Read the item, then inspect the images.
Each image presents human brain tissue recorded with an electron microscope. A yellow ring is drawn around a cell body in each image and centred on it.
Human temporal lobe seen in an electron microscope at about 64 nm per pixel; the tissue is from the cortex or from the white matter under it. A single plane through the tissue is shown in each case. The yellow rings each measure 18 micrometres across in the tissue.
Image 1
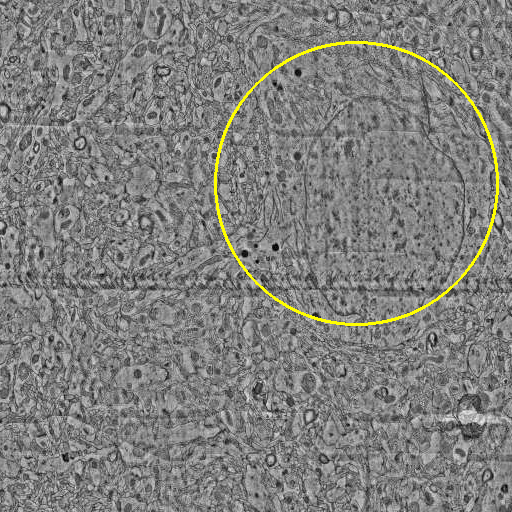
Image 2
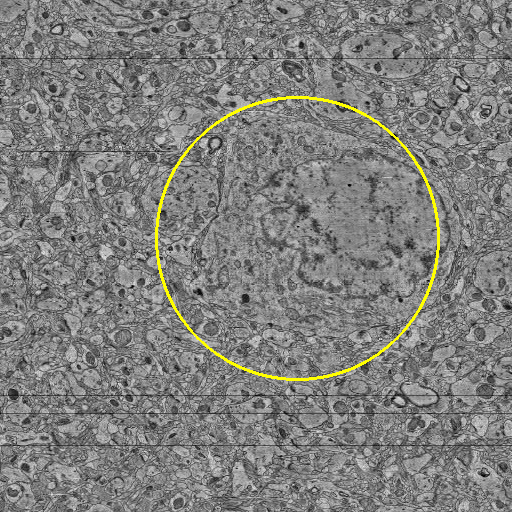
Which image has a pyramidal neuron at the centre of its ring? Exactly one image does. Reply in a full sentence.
The ring in Image 1 is centred on it.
